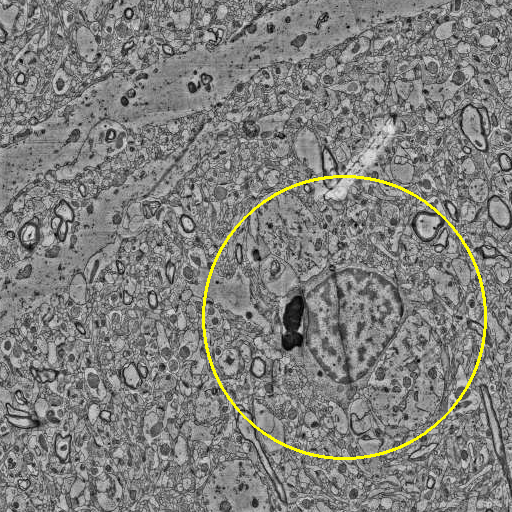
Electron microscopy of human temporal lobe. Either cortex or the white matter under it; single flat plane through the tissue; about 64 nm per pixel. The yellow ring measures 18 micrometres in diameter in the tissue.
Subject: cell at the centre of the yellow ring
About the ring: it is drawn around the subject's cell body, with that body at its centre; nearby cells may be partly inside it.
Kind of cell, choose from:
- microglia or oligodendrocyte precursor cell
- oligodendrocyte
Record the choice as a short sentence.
The subject cell is an oligodendrocyte.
